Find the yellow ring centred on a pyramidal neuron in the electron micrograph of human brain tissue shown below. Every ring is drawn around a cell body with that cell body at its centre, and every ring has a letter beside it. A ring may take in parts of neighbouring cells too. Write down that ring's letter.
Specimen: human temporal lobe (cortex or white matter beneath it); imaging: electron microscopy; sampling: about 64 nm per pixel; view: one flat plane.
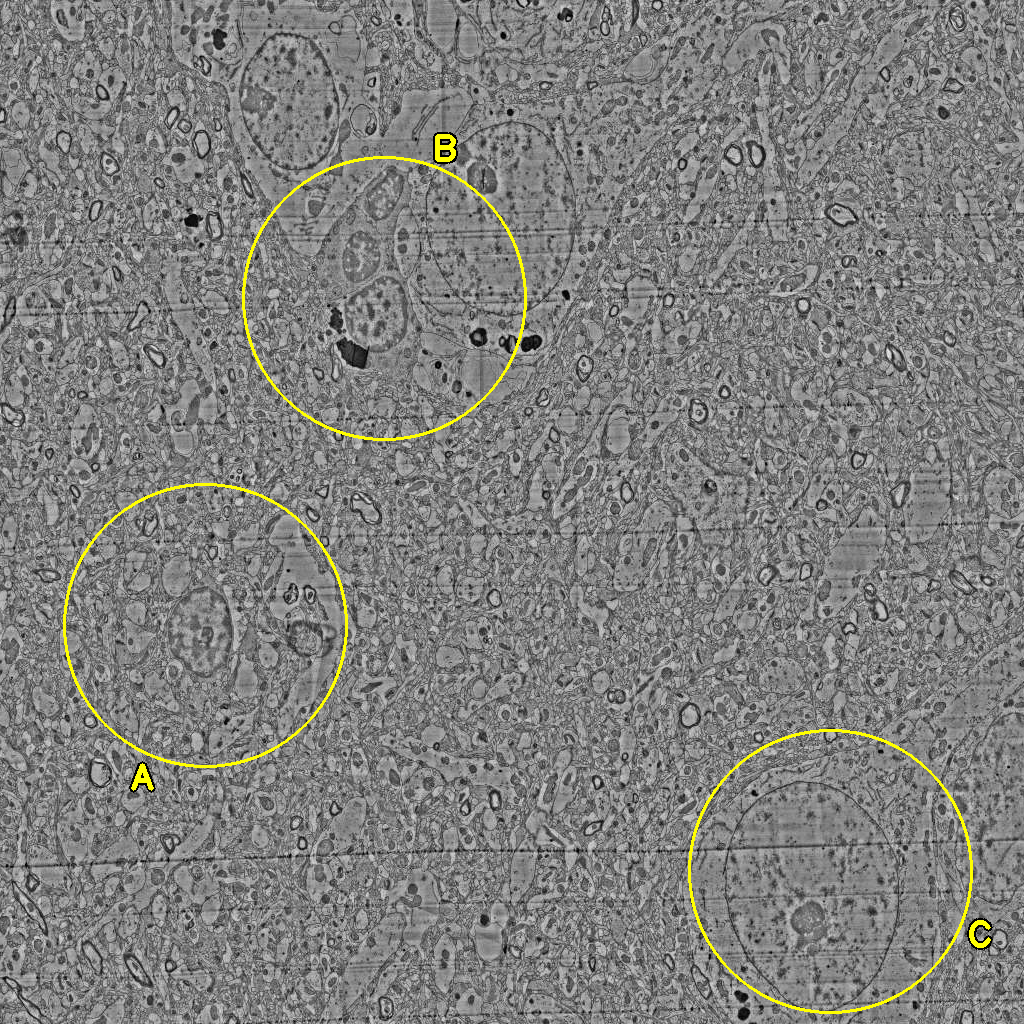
C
